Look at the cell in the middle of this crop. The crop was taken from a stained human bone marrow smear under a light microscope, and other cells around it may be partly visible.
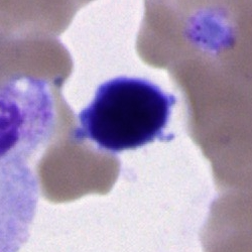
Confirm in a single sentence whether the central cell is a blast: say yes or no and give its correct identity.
No, the central cell is classed as a lymphocyte, not a blast.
